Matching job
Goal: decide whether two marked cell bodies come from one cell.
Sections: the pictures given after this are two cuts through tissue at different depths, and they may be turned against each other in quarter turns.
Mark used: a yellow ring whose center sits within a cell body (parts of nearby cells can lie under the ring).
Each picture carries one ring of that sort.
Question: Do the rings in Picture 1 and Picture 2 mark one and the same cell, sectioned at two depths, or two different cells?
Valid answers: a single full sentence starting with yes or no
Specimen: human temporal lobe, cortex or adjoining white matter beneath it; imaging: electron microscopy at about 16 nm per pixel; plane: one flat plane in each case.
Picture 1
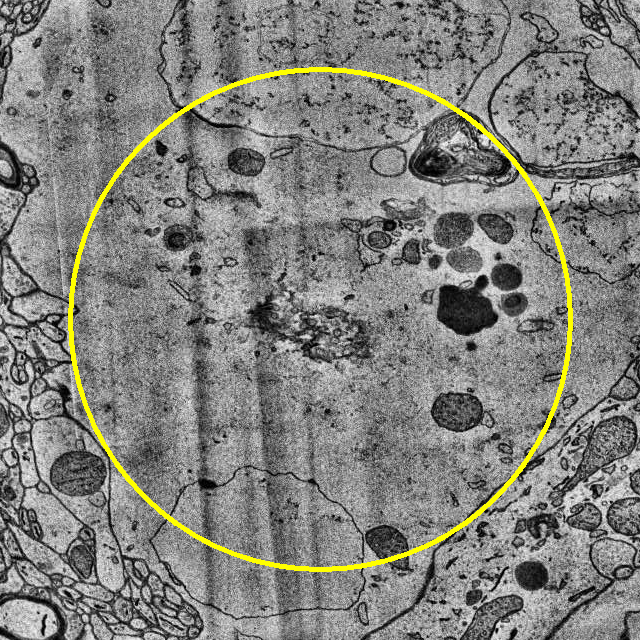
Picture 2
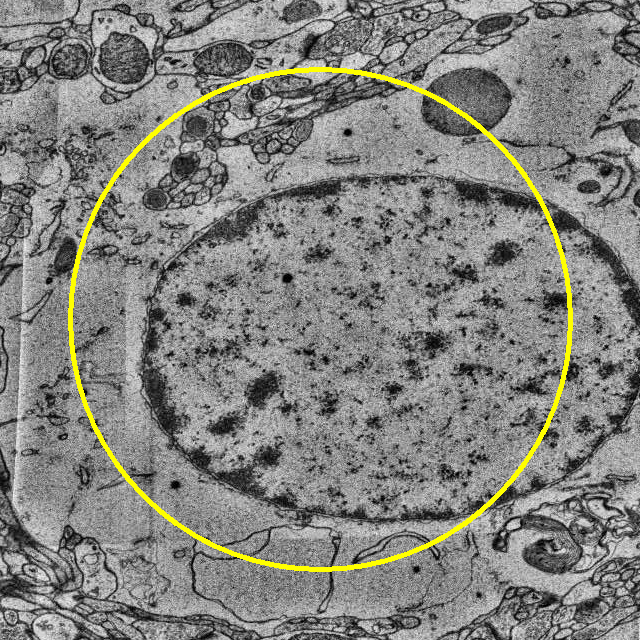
No, in this micrograph the two rings mark two different cells.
